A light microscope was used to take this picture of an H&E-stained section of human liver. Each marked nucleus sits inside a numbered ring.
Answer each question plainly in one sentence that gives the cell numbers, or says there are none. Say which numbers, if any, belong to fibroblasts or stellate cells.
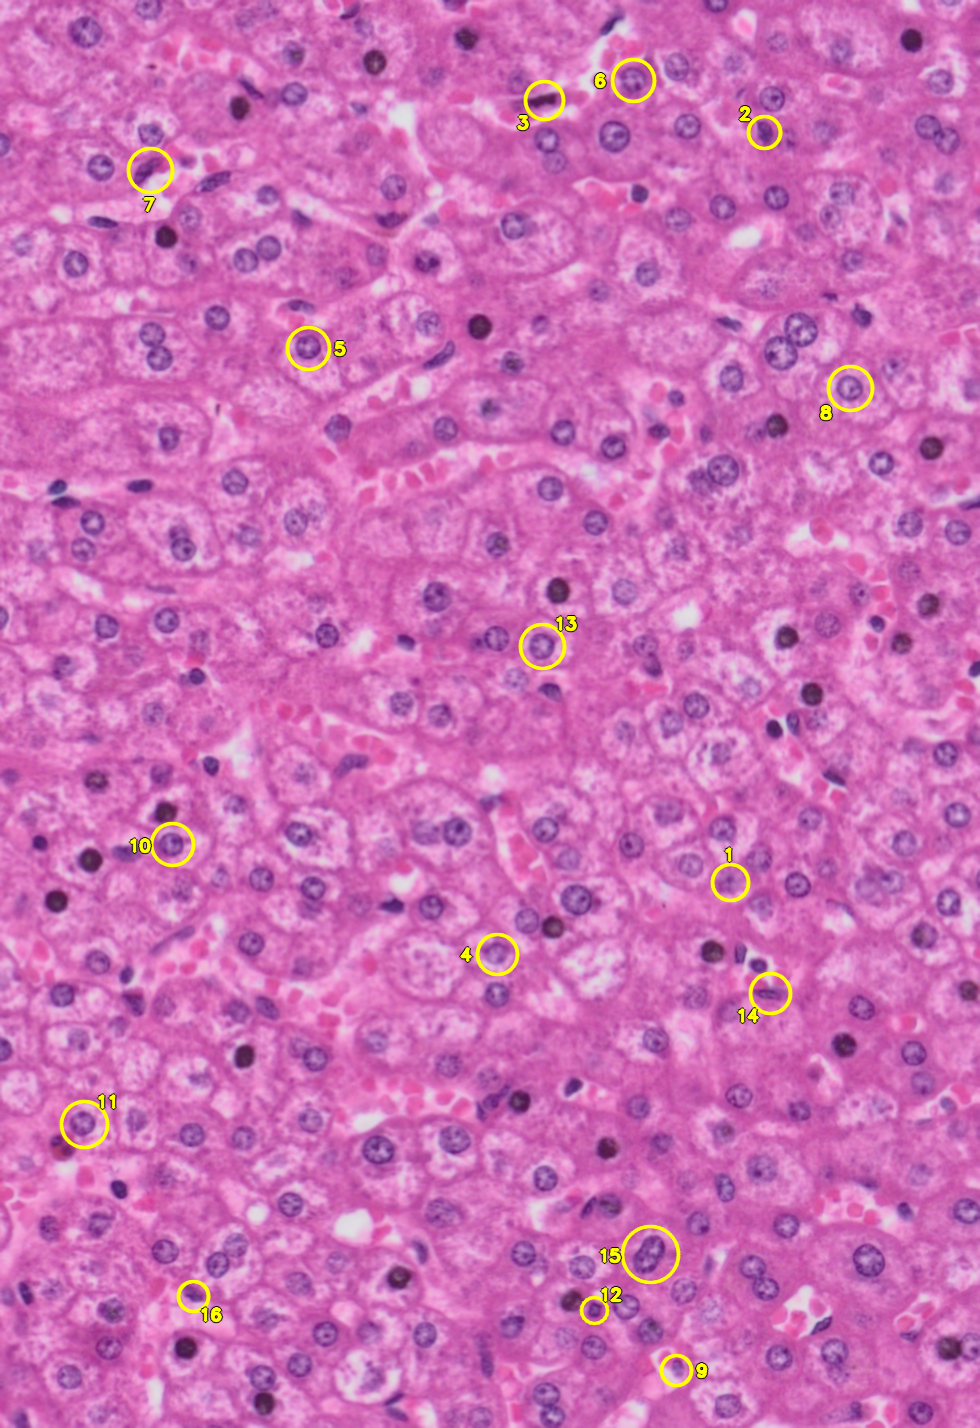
The cells shown with numbers 2 and 12 are fibroblasts or stellate cells.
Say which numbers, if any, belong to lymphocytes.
Cell 9 is a lymphocyte and is the only numbered cell of that kind.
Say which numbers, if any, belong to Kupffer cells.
So, the cells with numbers 3 and 7 are Kupffer cells.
